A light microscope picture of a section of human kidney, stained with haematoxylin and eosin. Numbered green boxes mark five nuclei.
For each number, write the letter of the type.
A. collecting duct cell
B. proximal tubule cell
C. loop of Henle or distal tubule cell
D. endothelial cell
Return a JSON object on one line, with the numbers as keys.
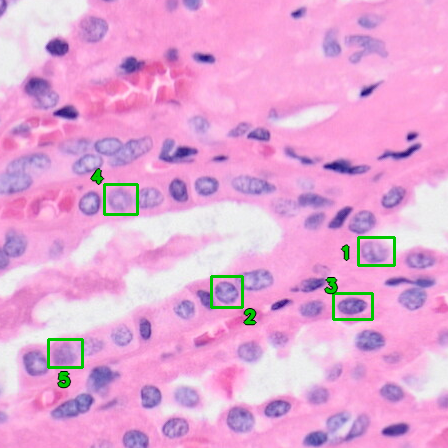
{"1": "C", "2": "A", "3": "C", "4": "A", "5": "A"}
